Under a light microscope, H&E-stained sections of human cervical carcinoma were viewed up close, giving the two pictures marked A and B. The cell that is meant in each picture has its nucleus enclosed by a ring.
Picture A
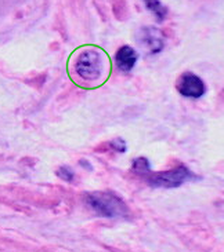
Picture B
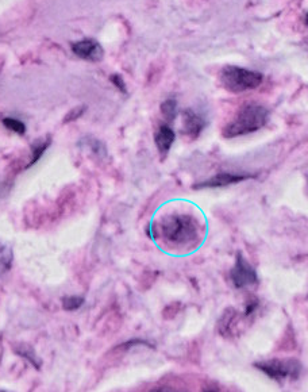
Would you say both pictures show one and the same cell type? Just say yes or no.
yes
